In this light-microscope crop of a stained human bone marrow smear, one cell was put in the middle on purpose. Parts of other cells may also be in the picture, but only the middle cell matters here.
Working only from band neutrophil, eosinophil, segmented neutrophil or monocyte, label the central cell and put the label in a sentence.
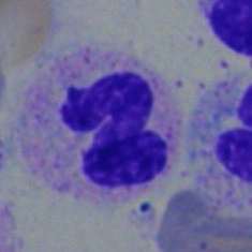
Classified as a band neutrophil is the cell in the middle of this crop.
